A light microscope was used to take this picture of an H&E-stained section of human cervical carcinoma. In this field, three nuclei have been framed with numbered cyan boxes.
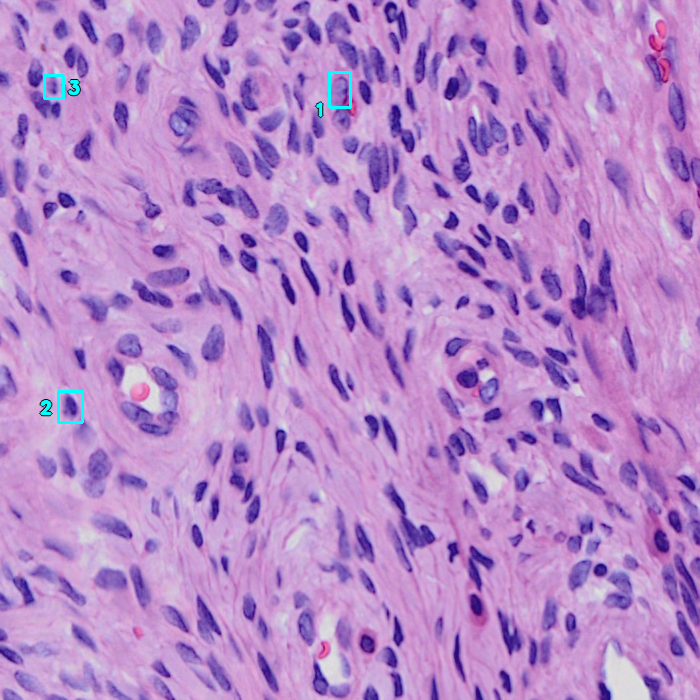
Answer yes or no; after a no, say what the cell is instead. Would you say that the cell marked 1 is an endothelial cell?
Yes.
